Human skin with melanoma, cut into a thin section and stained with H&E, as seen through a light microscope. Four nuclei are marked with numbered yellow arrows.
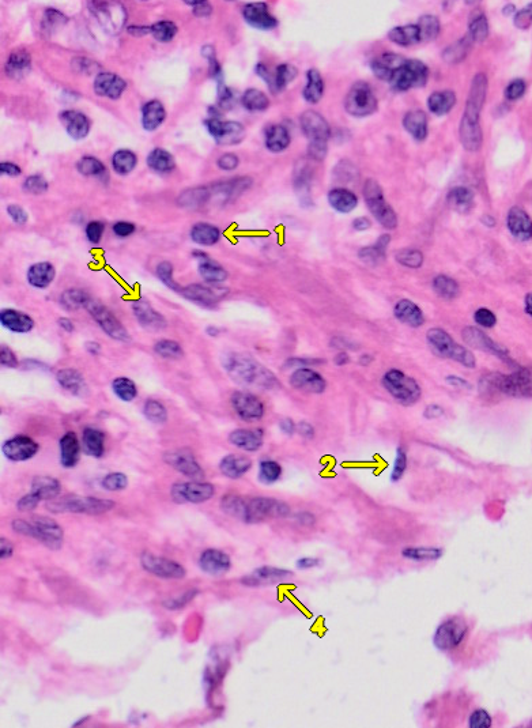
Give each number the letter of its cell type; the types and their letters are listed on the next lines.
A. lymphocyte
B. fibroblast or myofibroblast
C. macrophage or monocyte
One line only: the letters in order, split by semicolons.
A; B; C; B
